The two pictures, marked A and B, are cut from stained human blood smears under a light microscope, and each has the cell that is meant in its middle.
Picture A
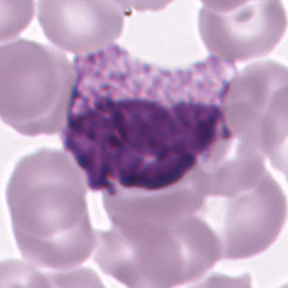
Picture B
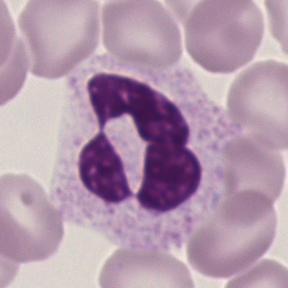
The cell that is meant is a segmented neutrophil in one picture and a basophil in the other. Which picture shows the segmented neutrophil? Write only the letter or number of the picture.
B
